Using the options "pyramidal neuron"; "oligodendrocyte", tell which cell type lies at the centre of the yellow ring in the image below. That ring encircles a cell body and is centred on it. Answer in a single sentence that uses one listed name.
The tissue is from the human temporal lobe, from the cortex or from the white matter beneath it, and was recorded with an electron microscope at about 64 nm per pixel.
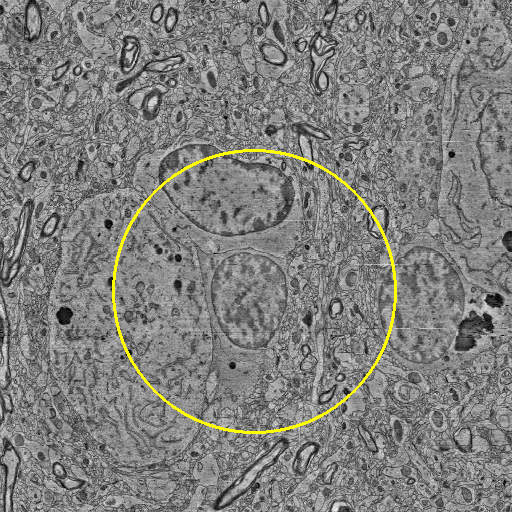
At the centre of the yellow ring lies the body of an oligodendrocyte.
